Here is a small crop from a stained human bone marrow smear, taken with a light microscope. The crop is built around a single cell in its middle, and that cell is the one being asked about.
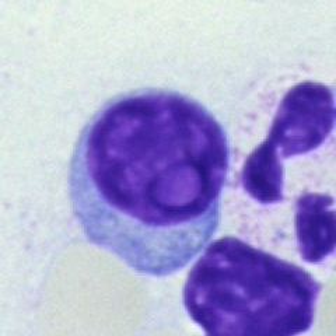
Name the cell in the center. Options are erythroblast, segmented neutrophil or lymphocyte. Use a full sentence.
Classification of the middle cell gives a lymphocyte.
